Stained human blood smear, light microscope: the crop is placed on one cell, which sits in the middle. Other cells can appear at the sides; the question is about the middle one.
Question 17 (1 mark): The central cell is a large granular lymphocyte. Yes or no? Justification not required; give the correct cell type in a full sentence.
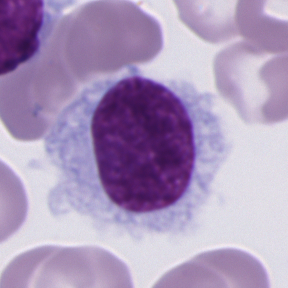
No, what lies at the heart of the crop is a hairy cell, not a large granular lymphocyte.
